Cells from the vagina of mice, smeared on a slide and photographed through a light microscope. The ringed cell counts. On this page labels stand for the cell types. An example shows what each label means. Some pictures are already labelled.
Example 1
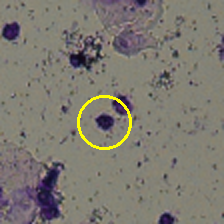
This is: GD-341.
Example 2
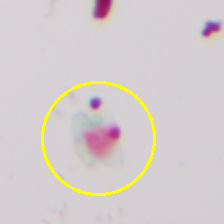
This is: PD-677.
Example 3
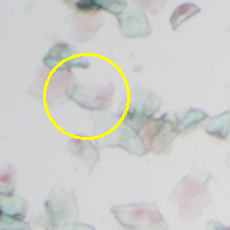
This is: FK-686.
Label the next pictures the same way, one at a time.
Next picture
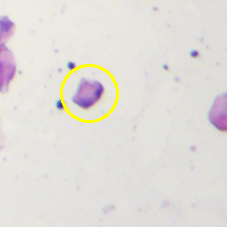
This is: FK-686.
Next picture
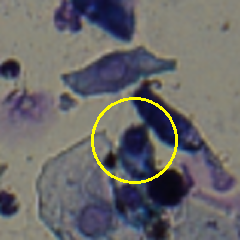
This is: PD-677.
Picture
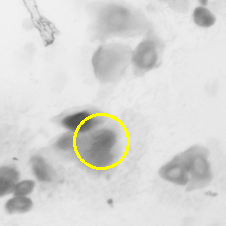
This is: PD-677.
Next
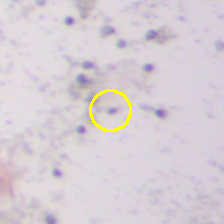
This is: GD-341.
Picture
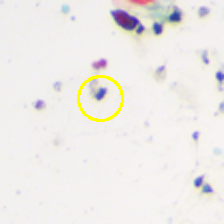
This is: GD-341.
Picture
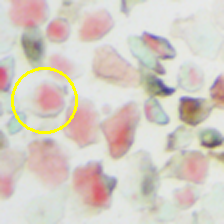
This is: PD-677.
